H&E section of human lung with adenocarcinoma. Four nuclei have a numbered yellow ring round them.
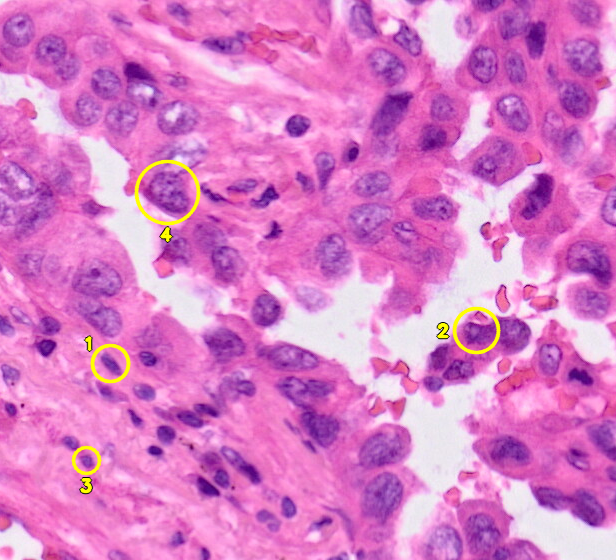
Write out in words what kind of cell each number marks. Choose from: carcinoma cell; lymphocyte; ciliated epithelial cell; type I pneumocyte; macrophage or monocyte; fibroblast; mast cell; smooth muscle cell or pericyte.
Cell 1 is a lymphocyte, cell 2 is a carcinoma cell, cell 3 is a smooth muscle cell or pericyte and cell 4 is a carcinoma cell.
